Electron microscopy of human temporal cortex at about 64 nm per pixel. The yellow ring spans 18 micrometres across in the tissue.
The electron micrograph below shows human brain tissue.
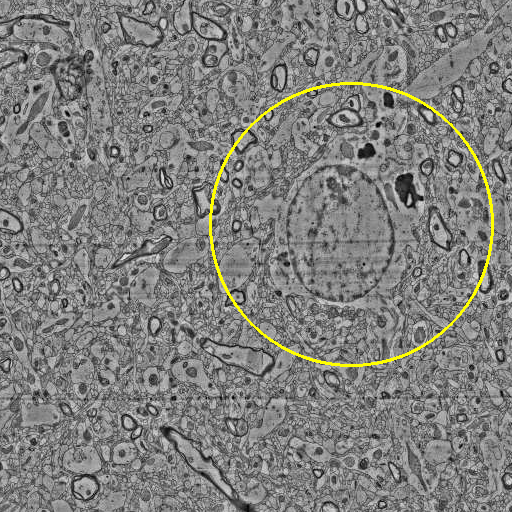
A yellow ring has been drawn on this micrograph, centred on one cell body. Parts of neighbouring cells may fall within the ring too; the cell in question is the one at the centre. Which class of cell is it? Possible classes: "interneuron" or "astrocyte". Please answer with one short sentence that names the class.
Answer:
In the centre of the ring sits an astrocyte.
